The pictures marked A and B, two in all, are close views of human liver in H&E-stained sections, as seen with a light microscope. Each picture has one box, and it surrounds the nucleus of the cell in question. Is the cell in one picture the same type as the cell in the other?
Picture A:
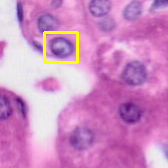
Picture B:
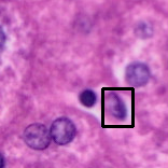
no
